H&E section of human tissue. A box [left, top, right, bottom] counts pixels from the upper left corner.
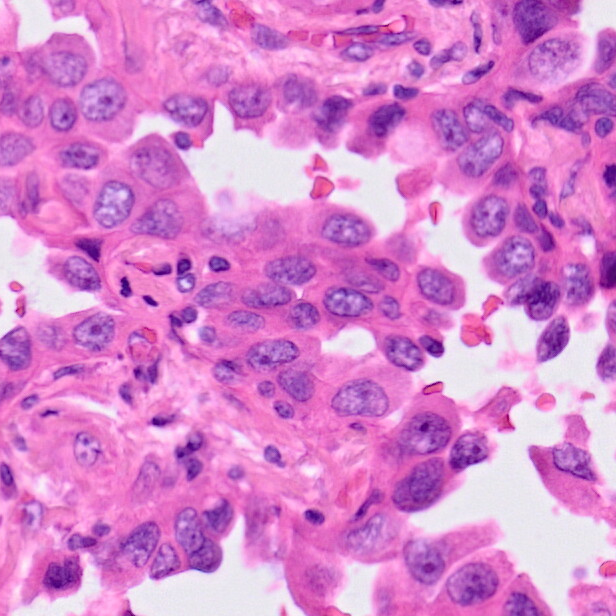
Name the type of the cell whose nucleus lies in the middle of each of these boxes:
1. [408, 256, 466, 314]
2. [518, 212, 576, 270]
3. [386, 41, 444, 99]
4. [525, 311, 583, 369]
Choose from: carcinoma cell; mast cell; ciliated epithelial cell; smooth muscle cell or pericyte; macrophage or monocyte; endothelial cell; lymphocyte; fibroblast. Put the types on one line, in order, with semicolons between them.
carcinoma cell; carcinoma cell; lymphocyte; carcinoma cell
